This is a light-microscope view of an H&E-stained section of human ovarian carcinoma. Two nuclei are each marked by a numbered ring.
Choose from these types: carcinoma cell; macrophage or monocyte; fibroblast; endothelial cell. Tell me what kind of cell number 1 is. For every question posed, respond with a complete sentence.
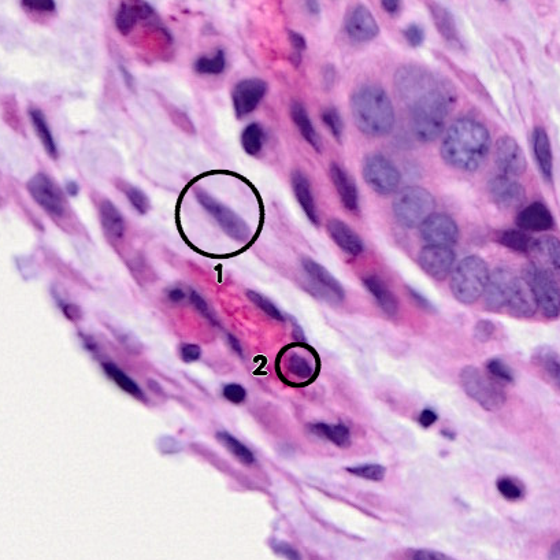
The cell that bears the number 1 is a fibroblast.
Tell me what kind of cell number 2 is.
The marked cell bearing number 2 is an endothelial cell.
